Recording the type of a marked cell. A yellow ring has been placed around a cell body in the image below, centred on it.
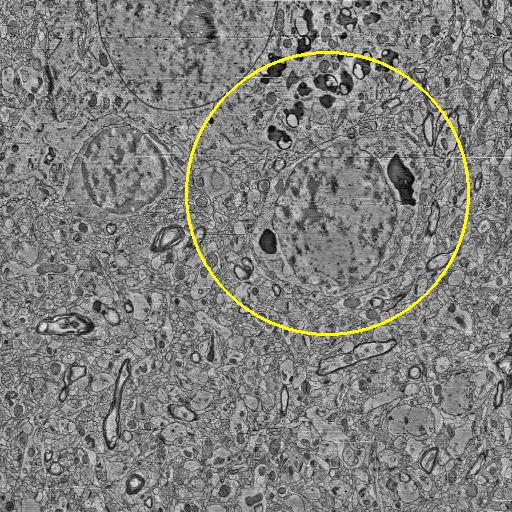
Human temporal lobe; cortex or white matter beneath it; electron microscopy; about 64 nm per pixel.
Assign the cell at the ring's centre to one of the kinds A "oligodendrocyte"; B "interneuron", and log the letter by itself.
B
